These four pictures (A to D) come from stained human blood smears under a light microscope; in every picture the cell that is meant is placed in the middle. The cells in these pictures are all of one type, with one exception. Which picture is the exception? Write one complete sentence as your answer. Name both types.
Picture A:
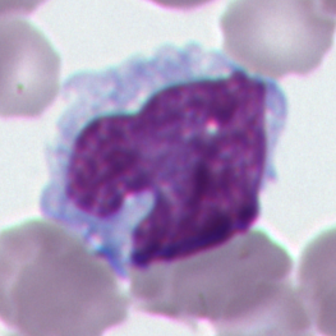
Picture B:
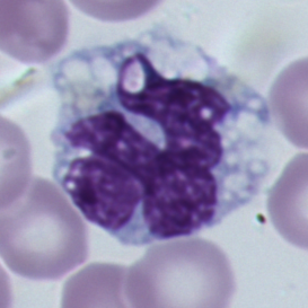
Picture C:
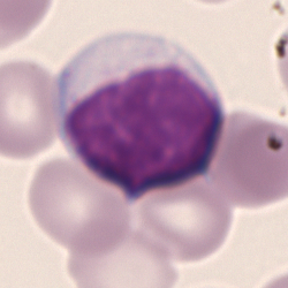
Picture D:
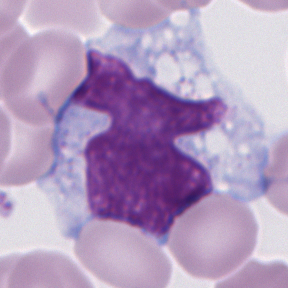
All pictures except C show monocytes; picture C shows a large granular lymphocyte.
